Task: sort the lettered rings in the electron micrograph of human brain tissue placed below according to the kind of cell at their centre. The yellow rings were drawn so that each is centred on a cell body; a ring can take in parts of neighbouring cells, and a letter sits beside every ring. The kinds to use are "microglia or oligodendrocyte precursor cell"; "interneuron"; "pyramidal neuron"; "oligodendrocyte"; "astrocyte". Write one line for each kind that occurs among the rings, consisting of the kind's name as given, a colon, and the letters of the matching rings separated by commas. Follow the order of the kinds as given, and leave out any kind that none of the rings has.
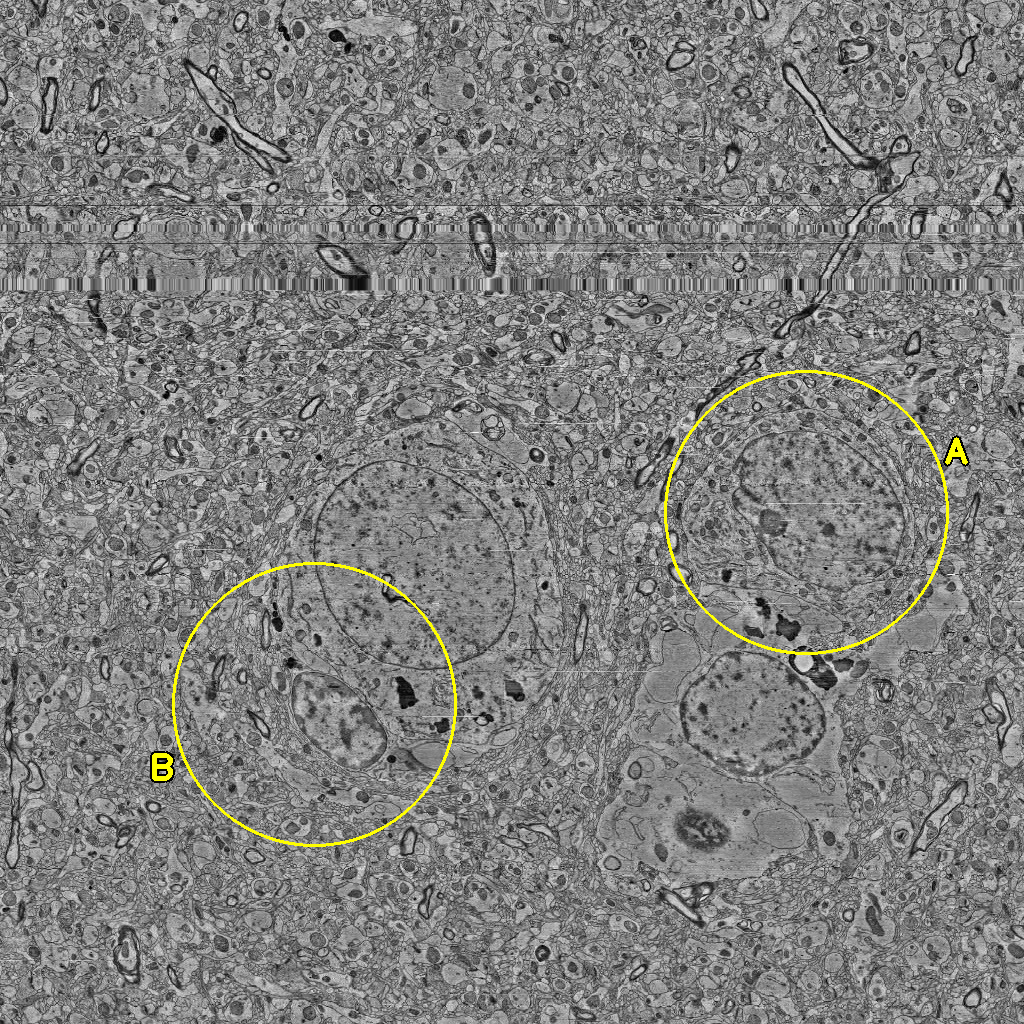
microglia or oligodendrocyte precursor cell: B
interneuron: A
